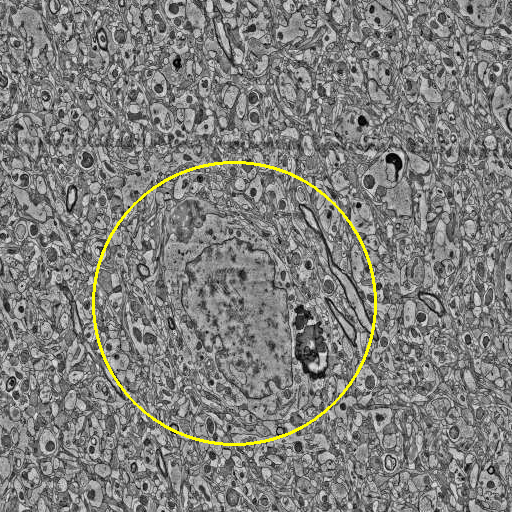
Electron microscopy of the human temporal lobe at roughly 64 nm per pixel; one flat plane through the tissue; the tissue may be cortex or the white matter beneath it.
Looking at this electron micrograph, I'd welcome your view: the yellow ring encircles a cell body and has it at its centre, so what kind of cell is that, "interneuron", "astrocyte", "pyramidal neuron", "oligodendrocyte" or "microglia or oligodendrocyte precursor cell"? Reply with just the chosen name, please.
interneuron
